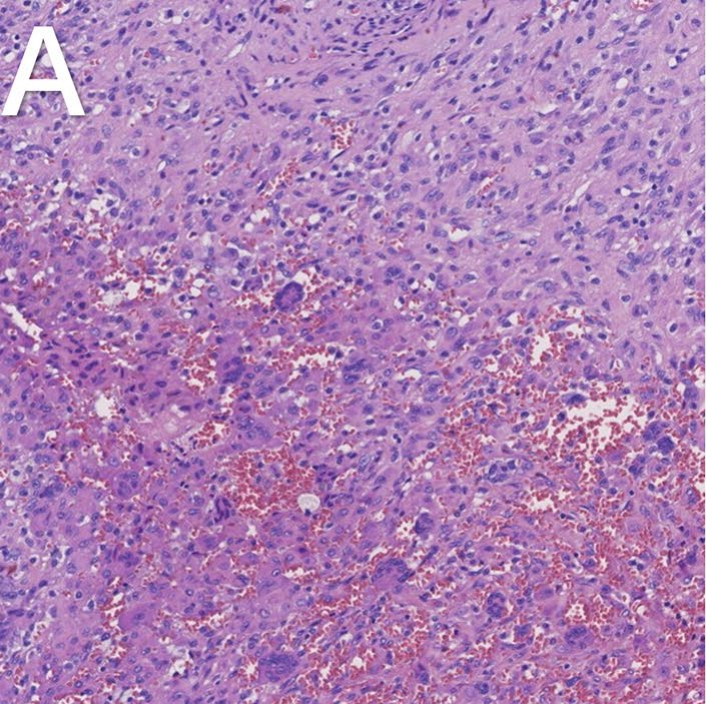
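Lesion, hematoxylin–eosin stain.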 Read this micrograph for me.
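The giant cells appear as large pink cells with crowded dark nuclei. Patches of red blood cells lie throughout the lower part of the field. Toward the top, the cells are more spindle-shaped and lie in a paler pink background.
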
